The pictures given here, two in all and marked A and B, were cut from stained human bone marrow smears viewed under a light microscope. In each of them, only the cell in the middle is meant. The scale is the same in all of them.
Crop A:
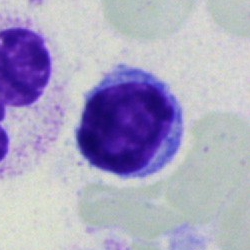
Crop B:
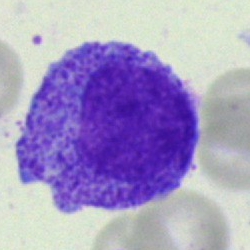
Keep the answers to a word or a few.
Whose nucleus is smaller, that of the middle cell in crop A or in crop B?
A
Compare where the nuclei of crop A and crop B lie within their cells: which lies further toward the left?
A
